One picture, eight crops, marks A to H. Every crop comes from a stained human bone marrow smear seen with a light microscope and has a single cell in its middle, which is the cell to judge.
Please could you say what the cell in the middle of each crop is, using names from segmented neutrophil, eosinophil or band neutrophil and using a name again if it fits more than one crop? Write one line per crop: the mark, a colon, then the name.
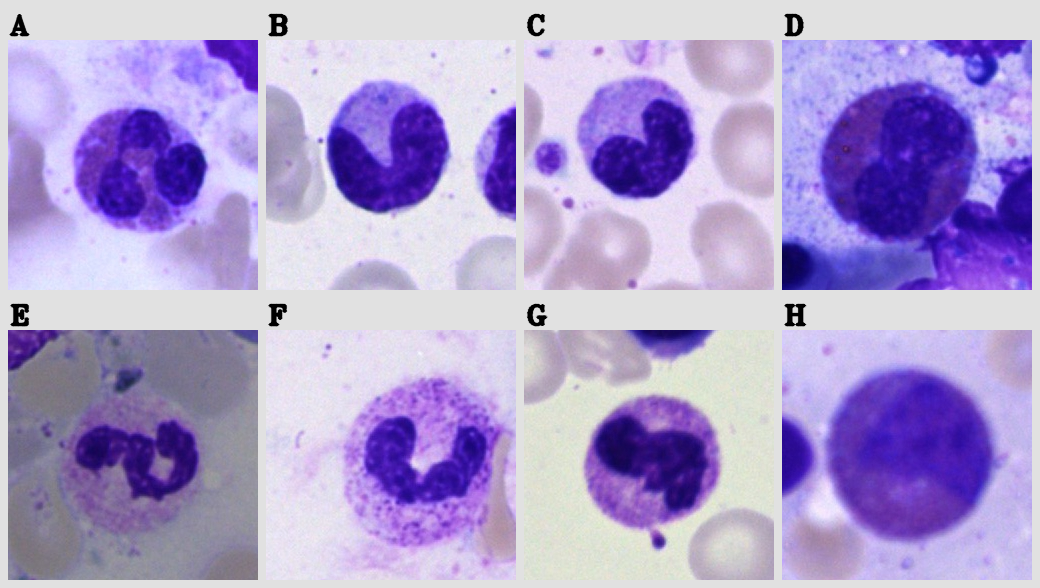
A: eosinophil
B: band neutrophil
C: band neutrophil
D: eosinophil
E: segmented neutrophil
F: segmented neutrophil
G: segmented neutrophil
H: eosinophil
